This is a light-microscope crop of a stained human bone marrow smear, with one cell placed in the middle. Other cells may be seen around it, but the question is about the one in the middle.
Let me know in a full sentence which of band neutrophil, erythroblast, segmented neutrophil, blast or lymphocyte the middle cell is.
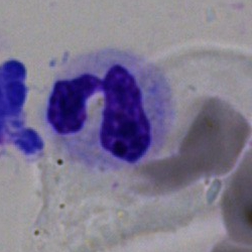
Here the cell in the middle is a segmented neutrophil.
